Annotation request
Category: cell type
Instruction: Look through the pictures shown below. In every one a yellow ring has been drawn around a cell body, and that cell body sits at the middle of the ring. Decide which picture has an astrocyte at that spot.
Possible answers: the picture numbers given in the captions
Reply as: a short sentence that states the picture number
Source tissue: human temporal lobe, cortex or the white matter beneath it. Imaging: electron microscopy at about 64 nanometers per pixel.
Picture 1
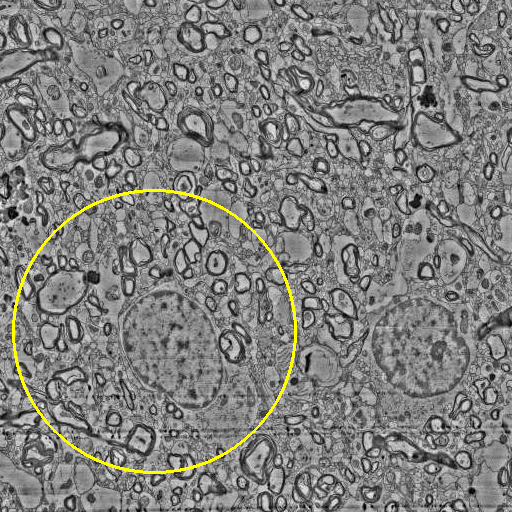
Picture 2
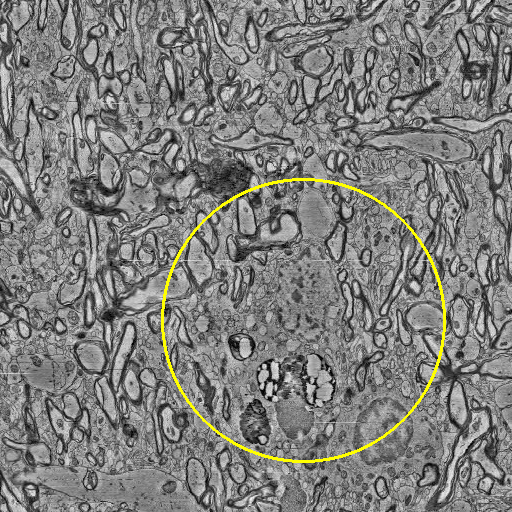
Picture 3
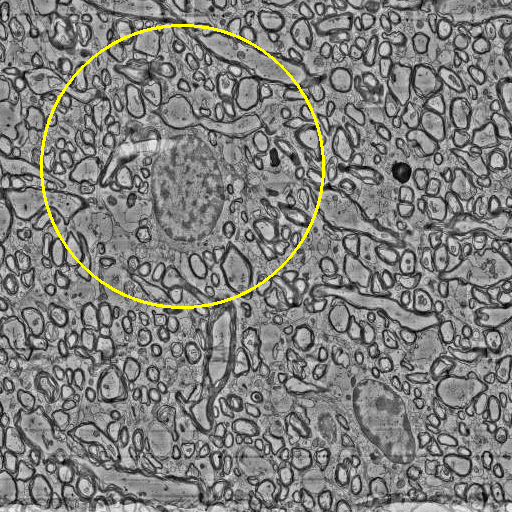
It is in Picture 2.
